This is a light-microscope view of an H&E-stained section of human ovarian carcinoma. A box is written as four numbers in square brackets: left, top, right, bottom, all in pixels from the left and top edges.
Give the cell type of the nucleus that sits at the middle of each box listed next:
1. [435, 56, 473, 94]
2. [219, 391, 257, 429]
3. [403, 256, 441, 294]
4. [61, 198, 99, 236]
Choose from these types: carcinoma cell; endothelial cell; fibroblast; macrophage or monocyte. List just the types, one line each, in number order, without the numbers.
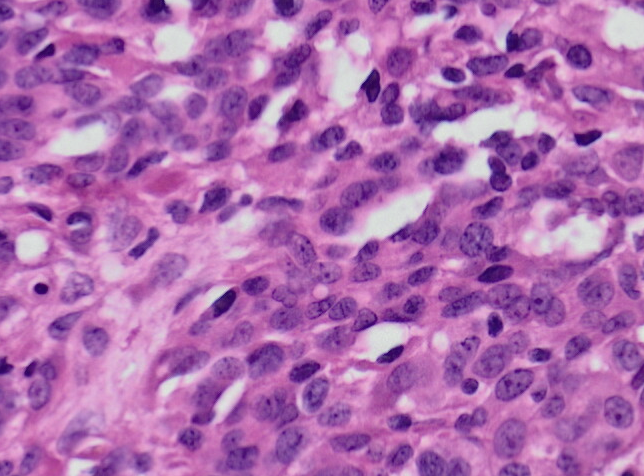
carcinoma cell
carcinoma cell
carcinoma cell
endothelial cell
